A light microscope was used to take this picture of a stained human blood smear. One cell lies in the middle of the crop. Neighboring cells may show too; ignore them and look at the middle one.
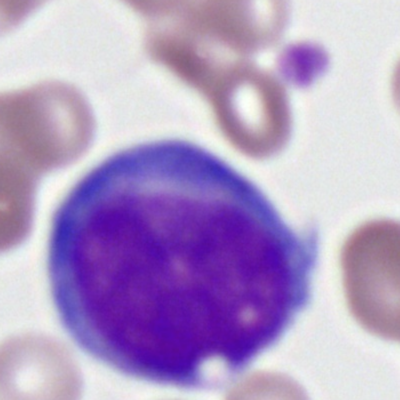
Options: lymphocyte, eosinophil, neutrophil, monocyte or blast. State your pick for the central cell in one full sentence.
In the centre of this crop there is a blast.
